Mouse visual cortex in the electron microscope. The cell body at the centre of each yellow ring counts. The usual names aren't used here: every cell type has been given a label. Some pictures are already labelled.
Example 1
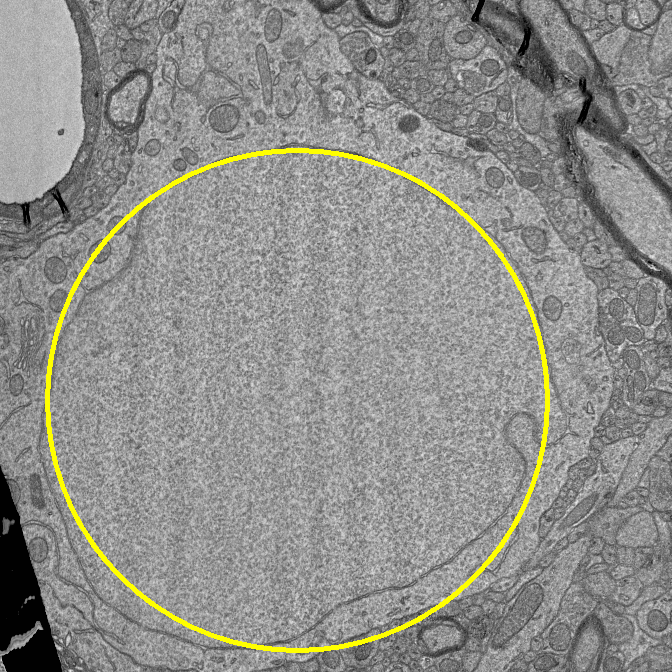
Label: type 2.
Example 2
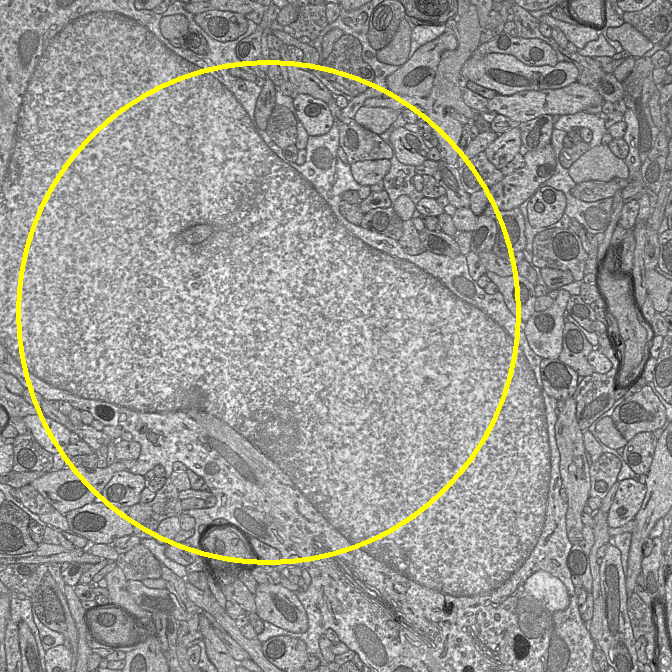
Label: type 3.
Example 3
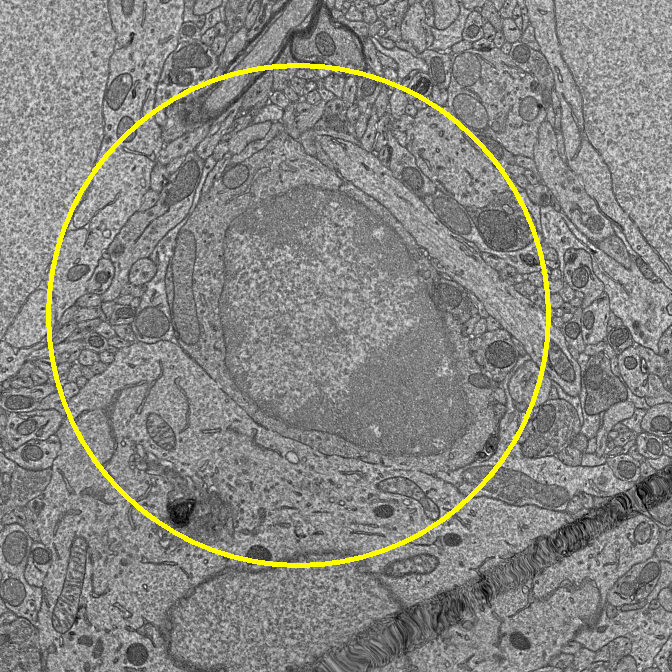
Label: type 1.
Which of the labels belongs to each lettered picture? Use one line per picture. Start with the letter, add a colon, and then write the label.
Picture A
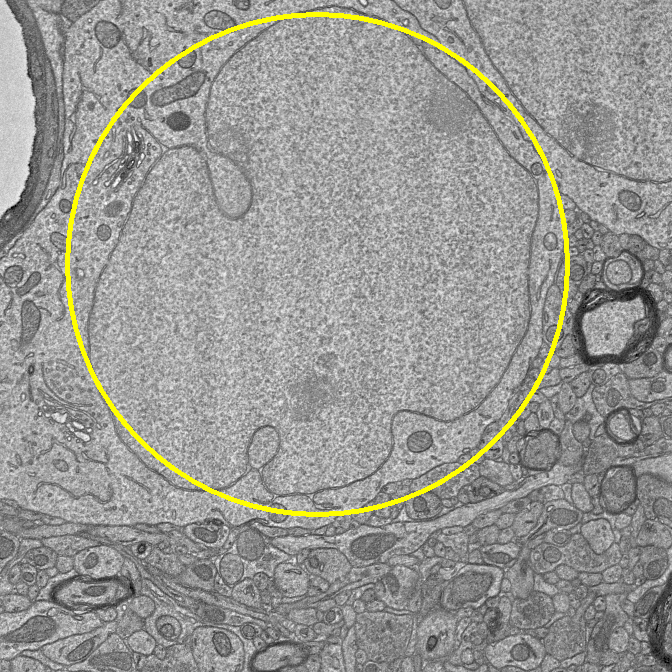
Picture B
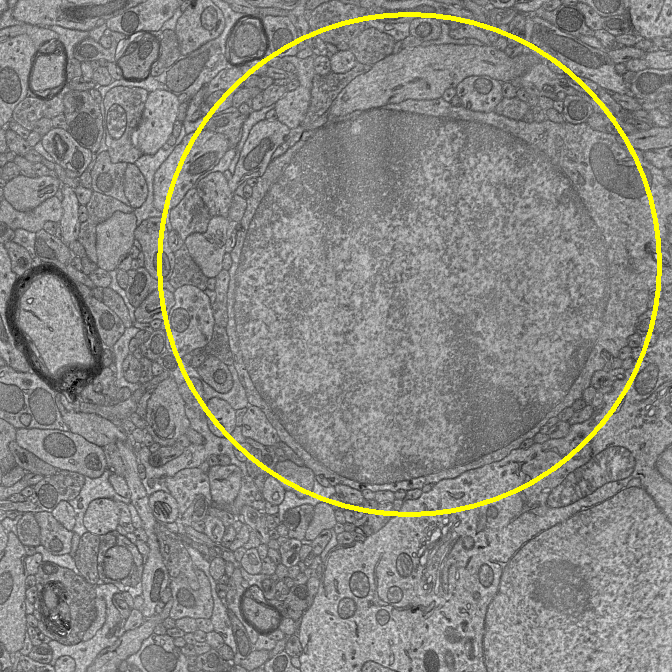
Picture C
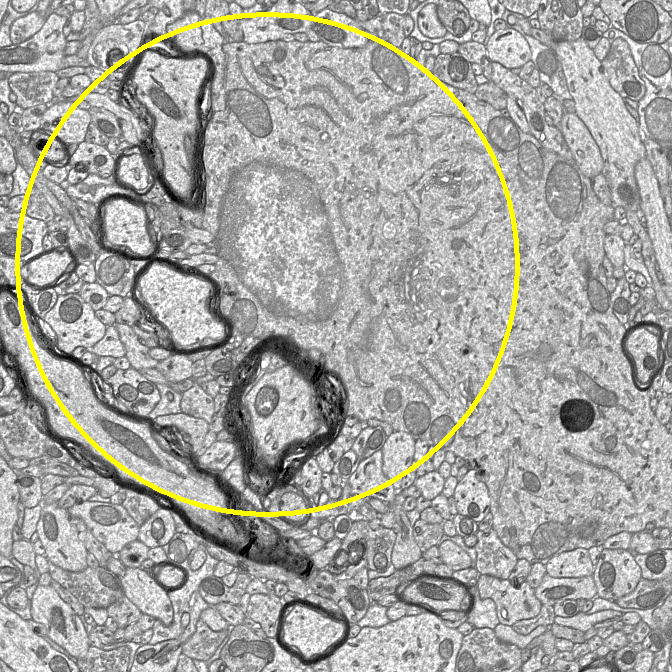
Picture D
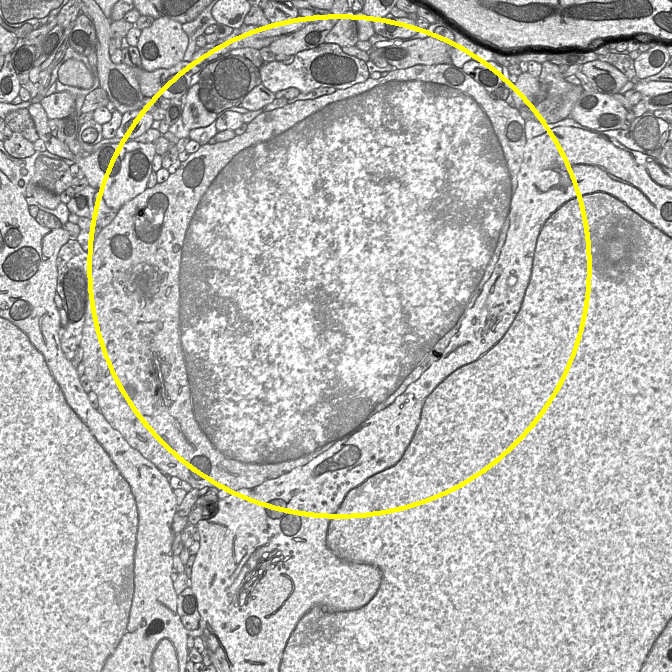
A: type 2.
B: type 1.
C: type 1.
D: type 1.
